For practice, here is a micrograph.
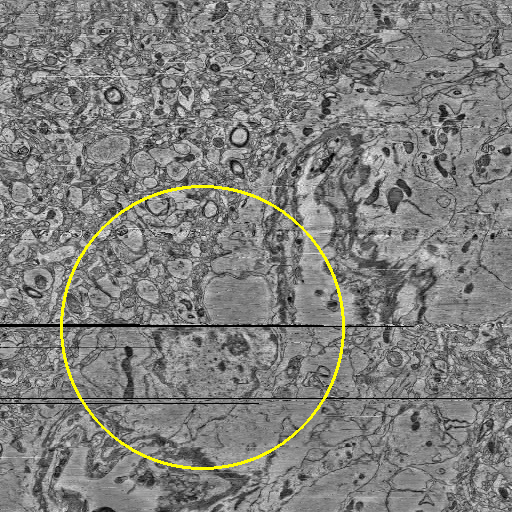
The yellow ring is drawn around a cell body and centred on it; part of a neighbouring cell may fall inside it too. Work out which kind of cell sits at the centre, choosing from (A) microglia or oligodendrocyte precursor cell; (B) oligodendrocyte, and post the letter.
A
